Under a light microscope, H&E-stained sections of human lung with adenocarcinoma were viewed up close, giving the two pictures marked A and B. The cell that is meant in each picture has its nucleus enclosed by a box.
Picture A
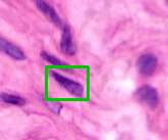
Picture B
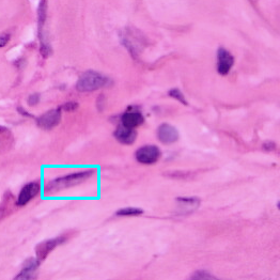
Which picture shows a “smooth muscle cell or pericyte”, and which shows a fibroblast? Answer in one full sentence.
Picture A shows a “smooth muscle cell or pericyte” and picture B shows a fibroblast.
